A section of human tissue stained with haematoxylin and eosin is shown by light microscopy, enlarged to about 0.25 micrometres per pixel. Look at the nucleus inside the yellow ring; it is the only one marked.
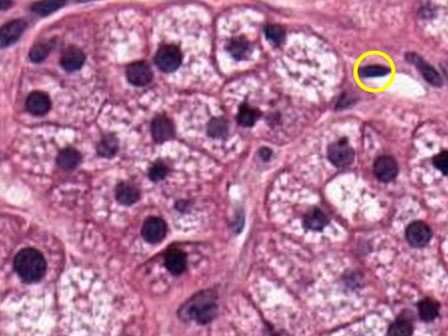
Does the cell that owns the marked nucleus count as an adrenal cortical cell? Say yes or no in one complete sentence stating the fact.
No, the marked nucleus belongs not to an adrenal cortical cell but to a supporting cell of connective tissue, a vessel or the immune system.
